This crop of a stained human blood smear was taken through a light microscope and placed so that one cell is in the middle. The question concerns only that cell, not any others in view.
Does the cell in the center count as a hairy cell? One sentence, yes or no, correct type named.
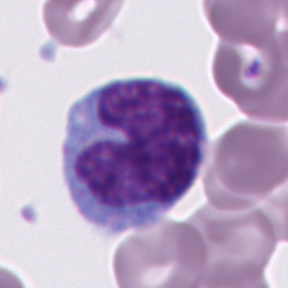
No, in the middle of the crop there is a monocyte rather than a hairy cell.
